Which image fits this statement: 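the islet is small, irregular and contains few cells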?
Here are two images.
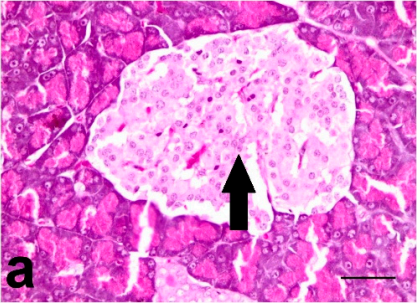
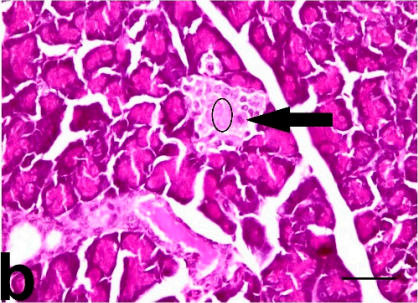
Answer: the second image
